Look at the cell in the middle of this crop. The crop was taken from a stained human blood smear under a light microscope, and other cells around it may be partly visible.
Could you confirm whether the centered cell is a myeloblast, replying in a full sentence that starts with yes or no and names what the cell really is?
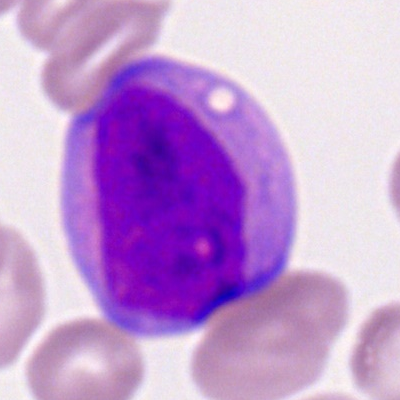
Yes, placed in the middle of the crop is a myeloblast.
